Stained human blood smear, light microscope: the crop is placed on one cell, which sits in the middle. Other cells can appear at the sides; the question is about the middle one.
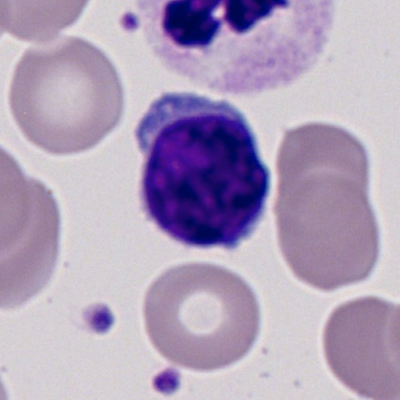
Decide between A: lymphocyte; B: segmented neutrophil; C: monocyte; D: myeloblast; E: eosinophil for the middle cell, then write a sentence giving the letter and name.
That the central cell is a lymphocyte makes option A correct.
